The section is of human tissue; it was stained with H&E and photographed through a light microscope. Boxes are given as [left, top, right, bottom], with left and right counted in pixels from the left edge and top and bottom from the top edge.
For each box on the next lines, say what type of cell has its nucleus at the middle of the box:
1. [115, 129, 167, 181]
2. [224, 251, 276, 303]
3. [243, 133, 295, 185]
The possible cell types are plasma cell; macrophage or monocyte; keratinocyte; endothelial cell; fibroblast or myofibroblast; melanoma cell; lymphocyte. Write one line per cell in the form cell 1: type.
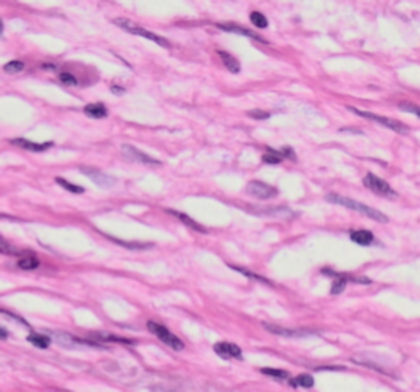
cell 1: fibroblast or myofibroblast
cell 2: fibroblast or myofibroblast
cell 3: macrophage or monocyte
